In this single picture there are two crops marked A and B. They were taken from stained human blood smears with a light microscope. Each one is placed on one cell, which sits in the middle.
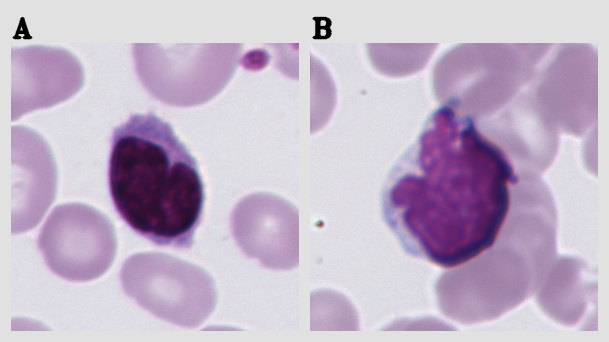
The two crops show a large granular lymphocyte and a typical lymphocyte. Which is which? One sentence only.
There is a typical lymphocyte in crop A and a large granular lymphocyte in crop B.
